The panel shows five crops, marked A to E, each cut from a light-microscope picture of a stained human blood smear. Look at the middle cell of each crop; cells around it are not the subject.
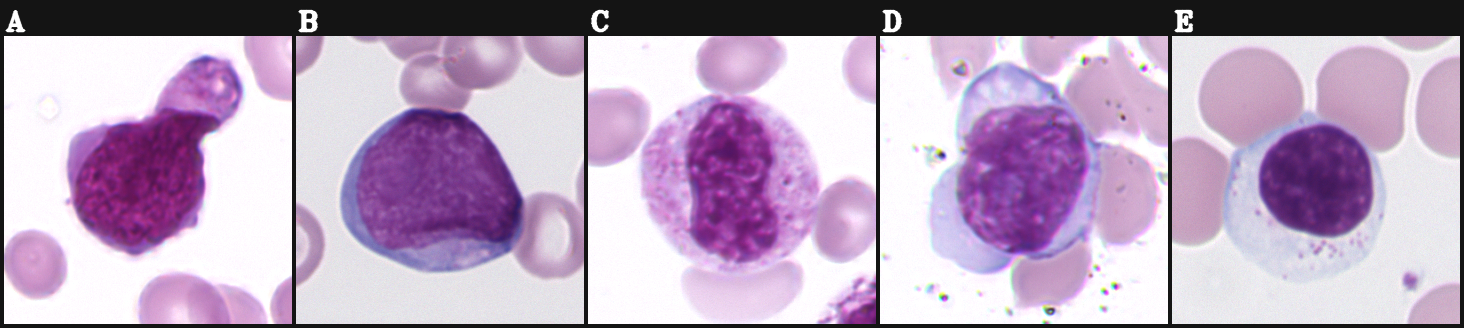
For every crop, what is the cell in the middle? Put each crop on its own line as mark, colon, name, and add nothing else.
A: atypical promyelocyte
B: myeloblast
C: metamyelocyte
D: plasma cell
E: large granular lymphocyte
